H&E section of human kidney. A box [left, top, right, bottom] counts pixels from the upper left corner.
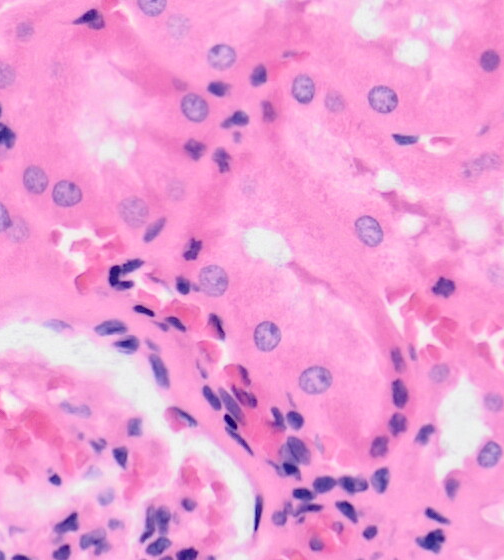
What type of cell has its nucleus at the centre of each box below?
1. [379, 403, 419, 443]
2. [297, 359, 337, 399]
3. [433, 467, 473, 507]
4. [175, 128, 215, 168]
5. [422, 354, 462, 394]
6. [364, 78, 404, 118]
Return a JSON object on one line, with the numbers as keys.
{"1": "proximal tubule cell", "2": "proximal tubule cell", "3": "loop of Henle or distal tubule cell", "4": "proximal tubule cell", "5": "loop of Henle or distal tubule cell", "6": "proximal tubule cell"}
